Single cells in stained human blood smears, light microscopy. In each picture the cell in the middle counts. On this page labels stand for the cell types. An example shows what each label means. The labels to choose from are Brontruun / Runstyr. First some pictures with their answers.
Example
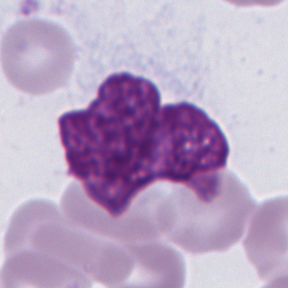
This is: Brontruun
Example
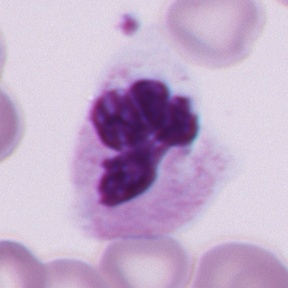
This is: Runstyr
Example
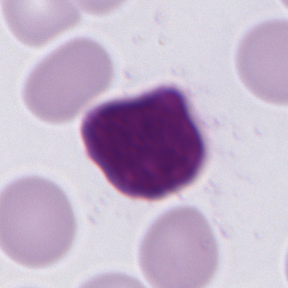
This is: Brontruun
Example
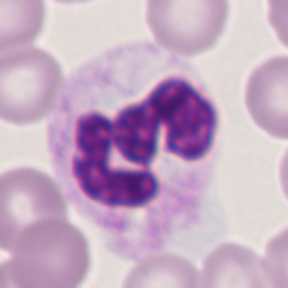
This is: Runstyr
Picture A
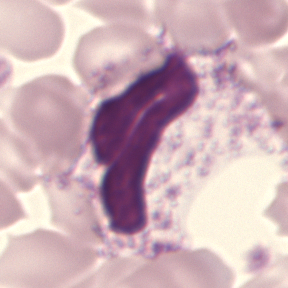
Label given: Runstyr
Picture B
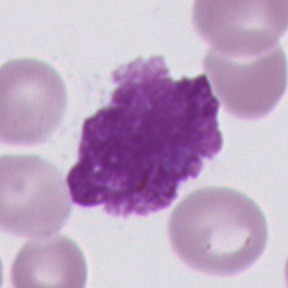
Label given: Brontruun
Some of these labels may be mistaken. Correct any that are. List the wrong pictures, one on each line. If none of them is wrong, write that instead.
Nothing to fix; every label fits.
